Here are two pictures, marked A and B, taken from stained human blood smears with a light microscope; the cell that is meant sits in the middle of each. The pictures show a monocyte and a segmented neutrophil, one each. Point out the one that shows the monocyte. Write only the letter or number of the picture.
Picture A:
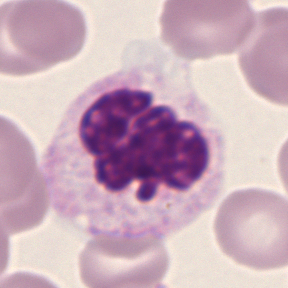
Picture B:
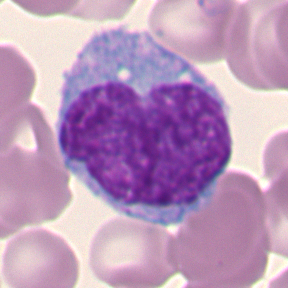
B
